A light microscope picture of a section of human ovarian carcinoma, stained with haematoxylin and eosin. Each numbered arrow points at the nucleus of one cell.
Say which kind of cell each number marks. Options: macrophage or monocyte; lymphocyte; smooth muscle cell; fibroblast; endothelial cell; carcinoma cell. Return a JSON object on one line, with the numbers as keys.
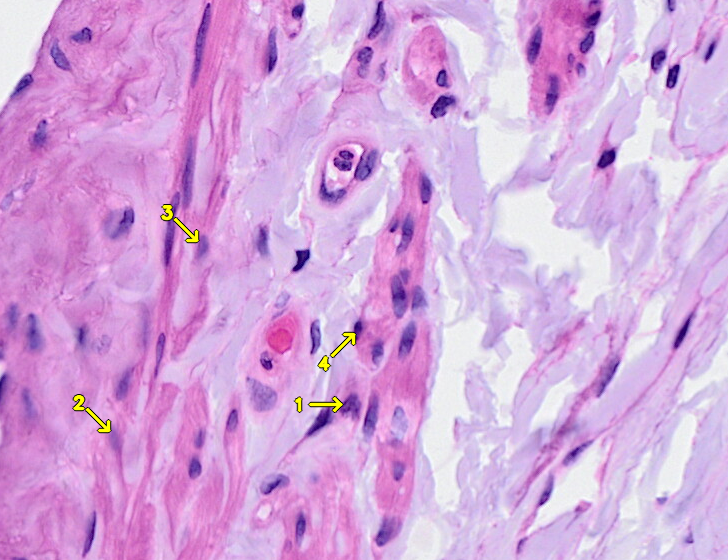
{"1": "endothelial cell", "2": "smooth muscle cell", "3": "smooth muscle cell", "4": "smooth muscle cell"}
